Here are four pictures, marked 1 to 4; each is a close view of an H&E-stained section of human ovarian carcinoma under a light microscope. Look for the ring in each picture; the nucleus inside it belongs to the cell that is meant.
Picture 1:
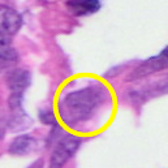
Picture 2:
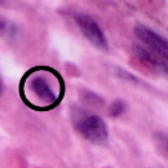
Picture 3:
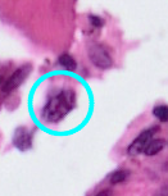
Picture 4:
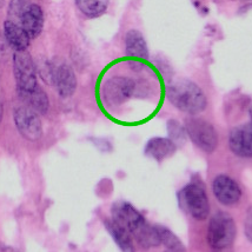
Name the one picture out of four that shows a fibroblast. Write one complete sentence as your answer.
Picture 2 shows the fibroblast.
